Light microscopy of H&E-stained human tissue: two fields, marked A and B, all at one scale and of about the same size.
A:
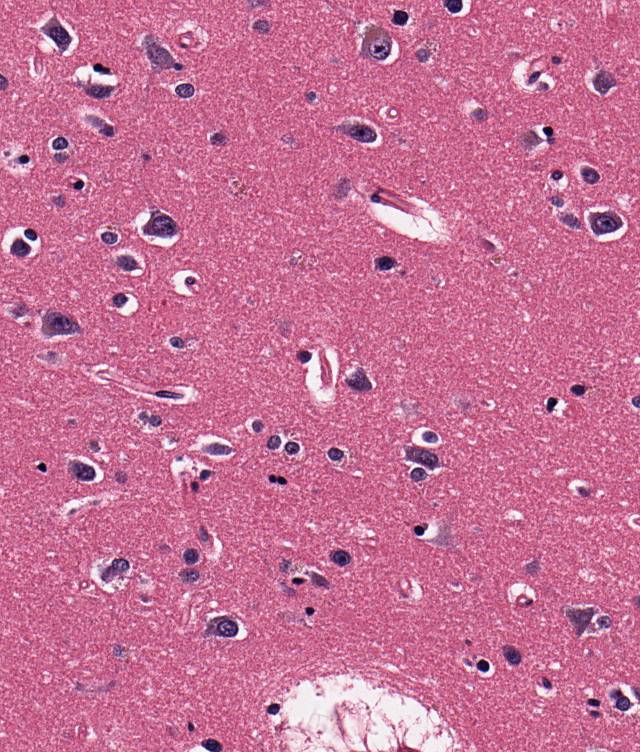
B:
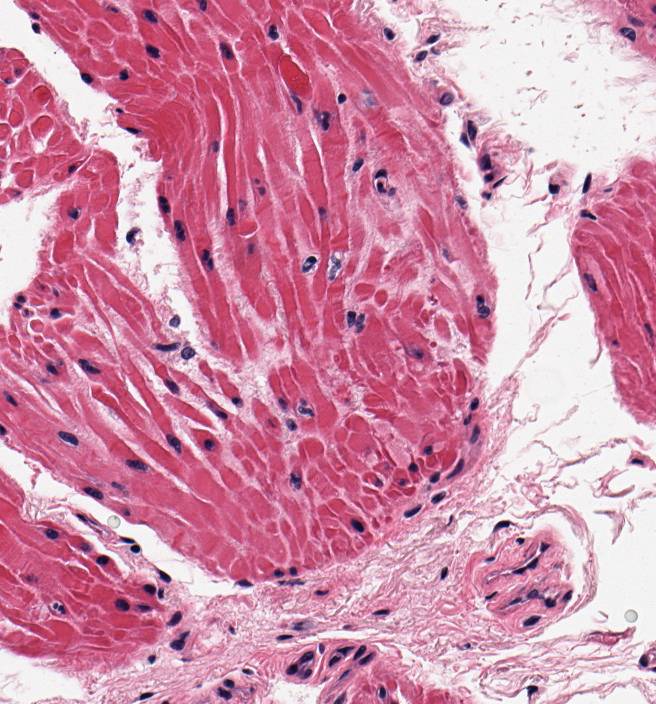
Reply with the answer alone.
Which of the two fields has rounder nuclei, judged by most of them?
A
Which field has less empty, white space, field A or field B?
A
